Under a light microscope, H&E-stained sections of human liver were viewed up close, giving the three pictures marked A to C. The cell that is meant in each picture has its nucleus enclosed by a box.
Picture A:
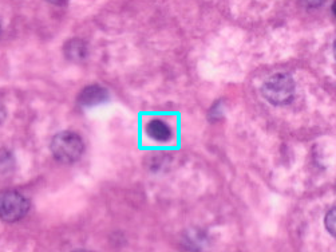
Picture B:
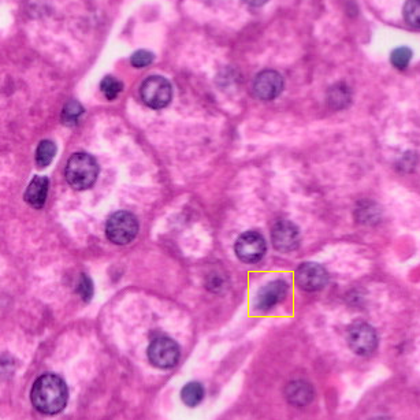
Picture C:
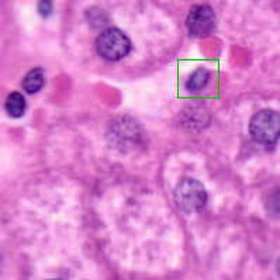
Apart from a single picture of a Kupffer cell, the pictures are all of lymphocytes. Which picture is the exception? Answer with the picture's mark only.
B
